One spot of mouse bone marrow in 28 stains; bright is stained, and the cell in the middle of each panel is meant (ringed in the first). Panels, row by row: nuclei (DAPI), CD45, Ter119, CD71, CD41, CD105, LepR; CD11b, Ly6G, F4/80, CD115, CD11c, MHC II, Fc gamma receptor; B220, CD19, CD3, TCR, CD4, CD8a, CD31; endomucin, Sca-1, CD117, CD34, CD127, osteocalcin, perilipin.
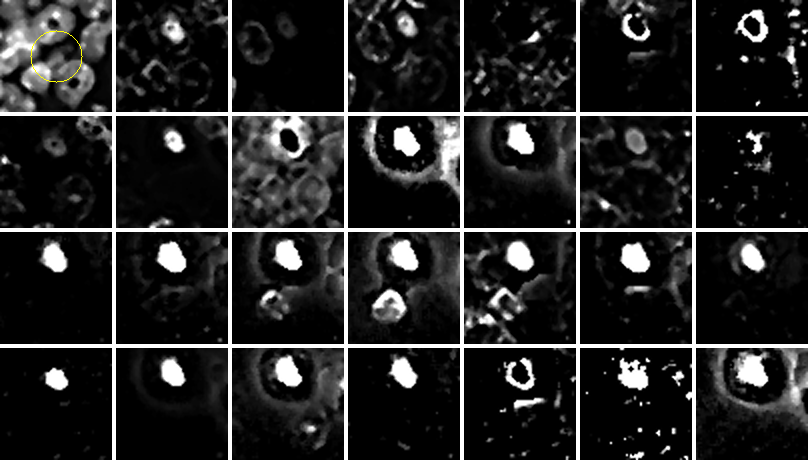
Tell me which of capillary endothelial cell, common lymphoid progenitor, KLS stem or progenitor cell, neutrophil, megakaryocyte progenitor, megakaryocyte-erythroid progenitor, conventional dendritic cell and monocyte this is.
The picture shows a common lymphoid progenitor.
